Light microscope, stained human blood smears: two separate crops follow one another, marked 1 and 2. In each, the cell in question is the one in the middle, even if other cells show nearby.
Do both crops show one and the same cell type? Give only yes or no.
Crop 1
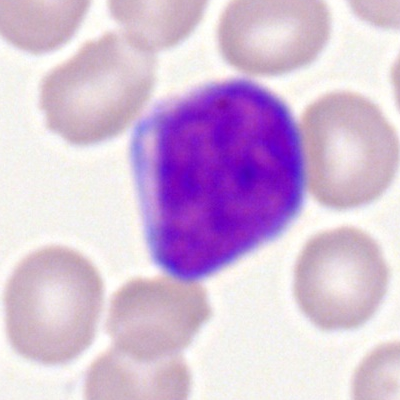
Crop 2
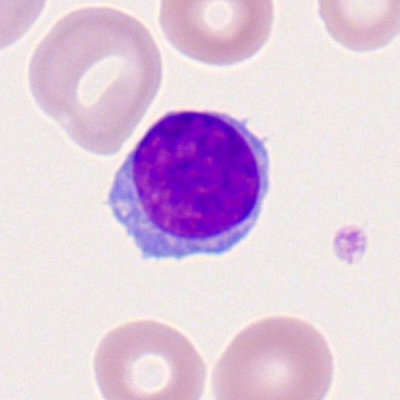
no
